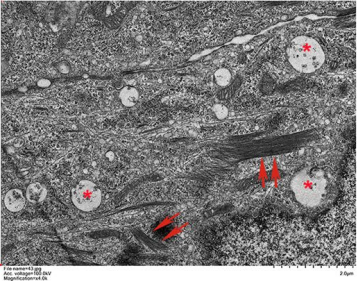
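Long bundles of fine, parallel, dark filaments stream through the cytoplasm, forming straight, striated-looking streaks. Scattered among them are several round, pale, membrane-bound vesicles holding a little granular material. Part of the nucleus, with finely granular chromatin, lies at the lower right edge, and the cell border runs along the top.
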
